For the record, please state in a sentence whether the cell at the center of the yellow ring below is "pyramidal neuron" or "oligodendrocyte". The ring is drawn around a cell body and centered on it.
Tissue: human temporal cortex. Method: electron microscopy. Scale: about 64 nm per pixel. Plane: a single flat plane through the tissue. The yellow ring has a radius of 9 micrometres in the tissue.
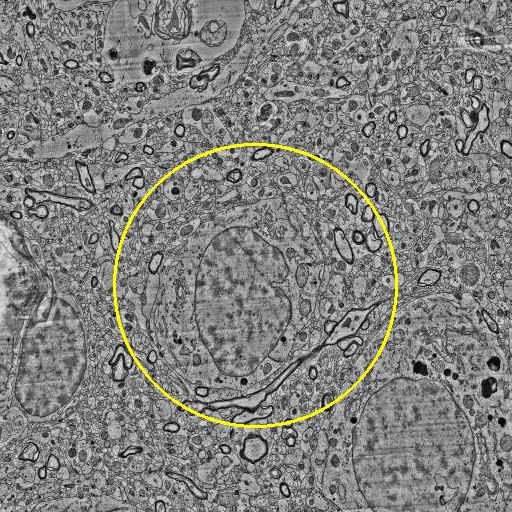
The cell at the ring's center is a pyramidal neuron.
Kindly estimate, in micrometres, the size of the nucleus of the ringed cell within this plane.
The nucleus comes to roughly 9 by 6 micrometres in this plane.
